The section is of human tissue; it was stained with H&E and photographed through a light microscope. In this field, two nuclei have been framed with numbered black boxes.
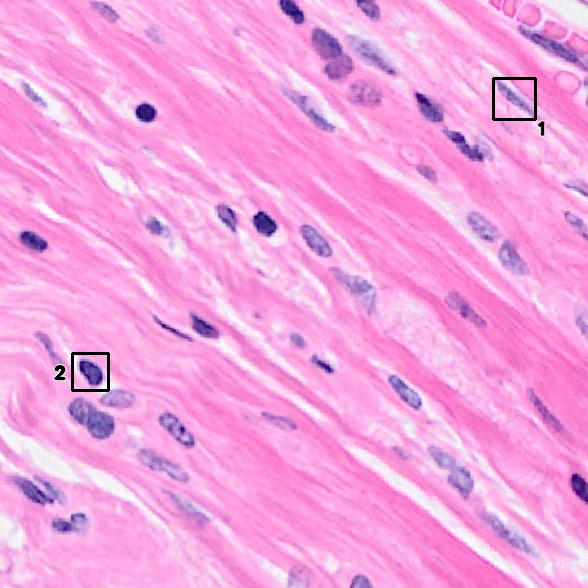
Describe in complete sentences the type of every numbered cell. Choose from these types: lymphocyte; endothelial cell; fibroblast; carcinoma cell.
Cell 1 is a fibroblast. Cell 2 is a lymphocyte.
